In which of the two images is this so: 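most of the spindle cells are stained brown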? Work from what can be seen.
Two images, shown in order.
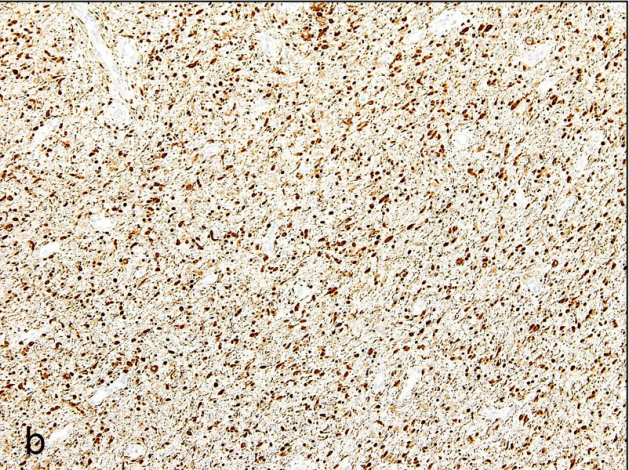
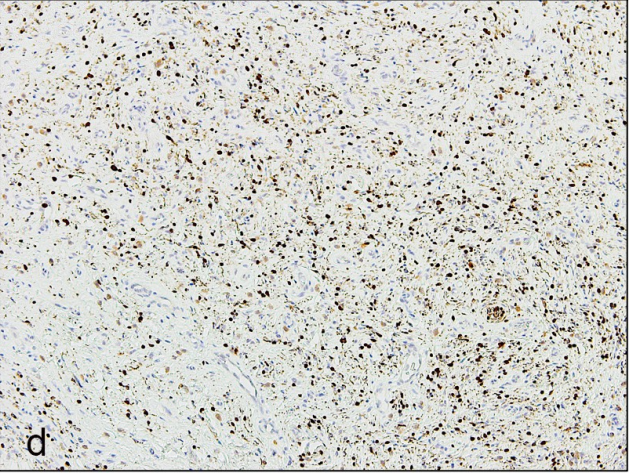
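Second image: brown nuclei are scattered among many blue, unstained cells on a pale background. First image: brown-stained spindle cells and nuclei fill almost the whole field. On this evidence: the first image.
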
